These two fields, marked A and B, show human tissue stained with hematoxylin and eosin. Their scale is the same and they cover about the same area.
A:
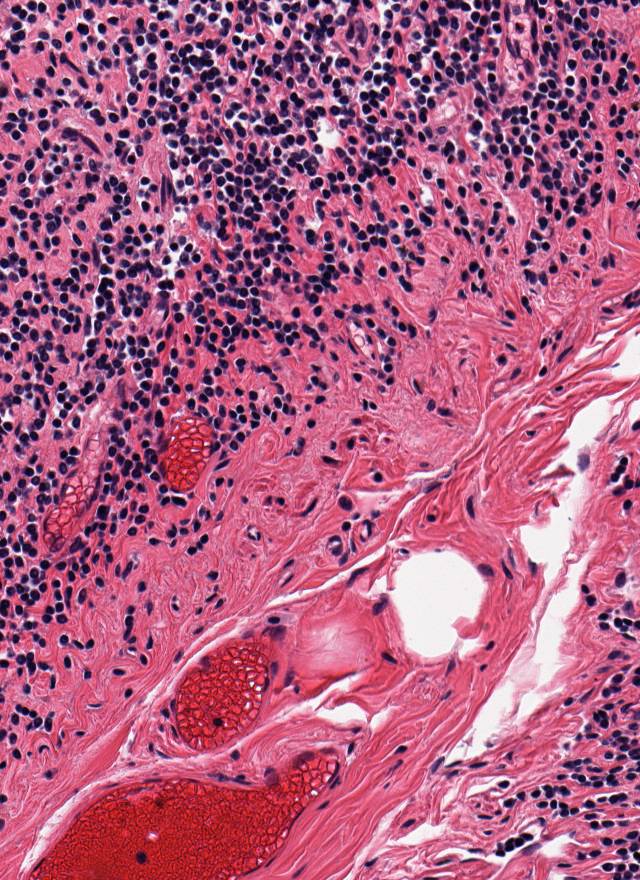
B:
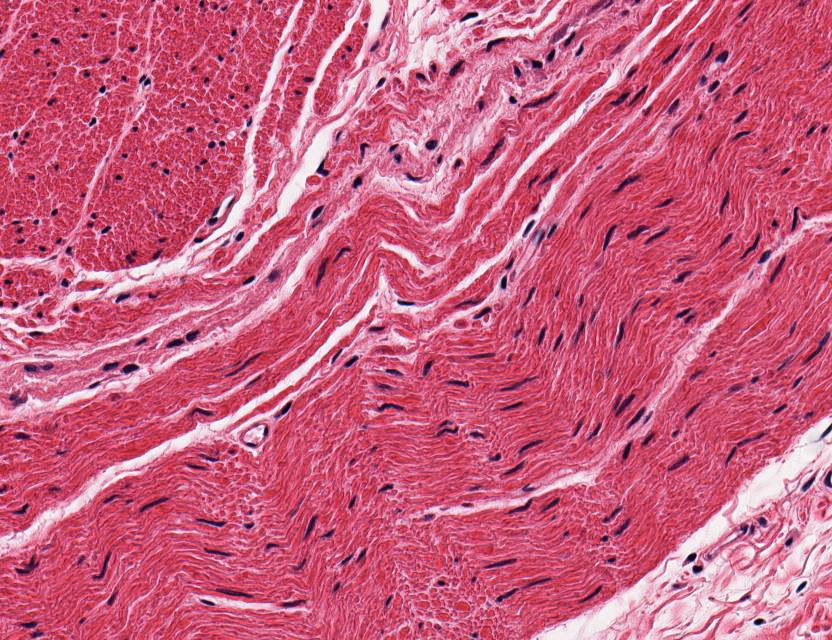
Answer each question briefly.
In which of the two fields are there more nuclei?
A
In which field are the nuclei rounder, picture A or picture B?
A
